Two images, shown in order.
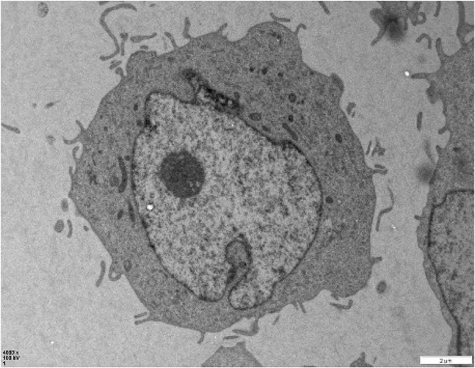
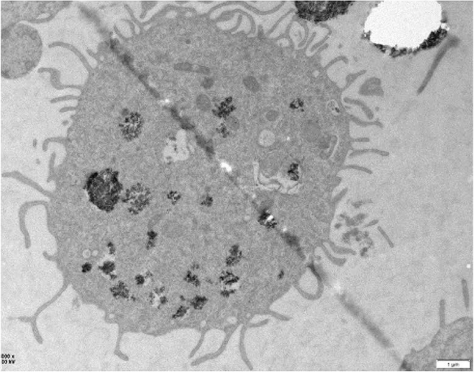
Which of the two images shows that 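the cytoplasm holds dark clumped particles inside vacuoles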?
The second image.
